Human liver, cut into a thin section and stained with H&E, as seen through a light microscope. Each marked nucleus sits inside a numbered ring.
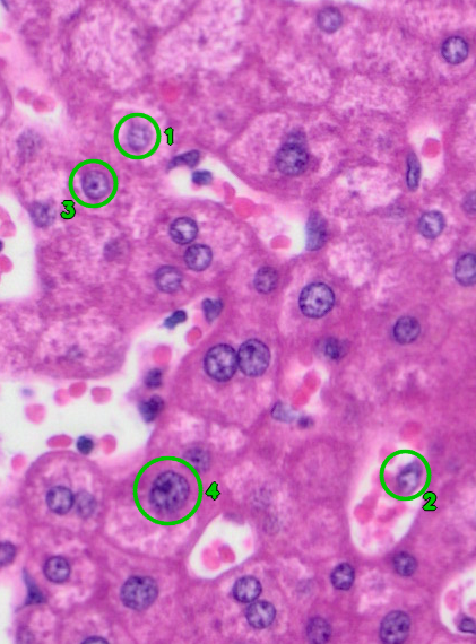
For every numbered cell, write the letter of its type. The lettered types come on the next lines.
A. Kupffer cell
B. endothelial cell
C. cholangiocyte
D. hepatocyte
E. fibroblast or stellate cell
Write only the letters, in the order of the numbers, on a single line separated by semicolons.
D; A; D; D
